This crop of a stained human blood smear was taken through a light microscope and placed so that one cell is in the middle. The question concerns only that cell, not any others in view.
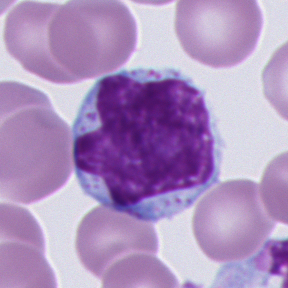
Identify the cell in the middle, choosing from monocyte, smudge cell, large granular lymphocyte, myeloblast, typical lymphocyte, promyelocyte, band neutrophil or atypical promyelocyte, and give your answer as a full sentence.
The target cell in the middle of the crop is a large granular lymphocyte.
